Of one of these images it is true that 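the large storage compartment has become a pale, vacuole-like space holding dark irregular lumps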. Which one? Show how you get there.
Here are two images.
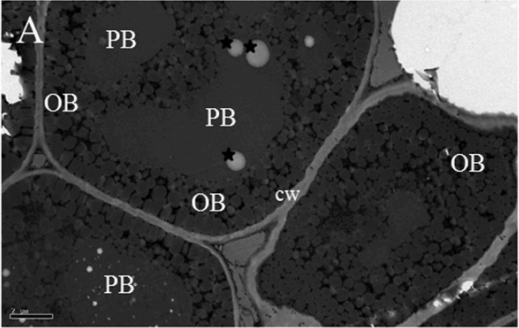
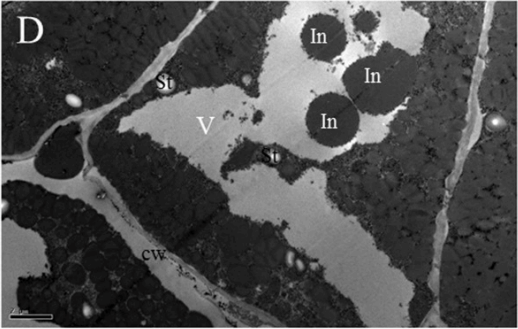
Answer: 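Second image: large pale, nearly empty spaces contain a few dark rounded or irregular bodies. First image: the large compartments are evenly grey and dense, with only a few small pale dots.
The second image.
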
